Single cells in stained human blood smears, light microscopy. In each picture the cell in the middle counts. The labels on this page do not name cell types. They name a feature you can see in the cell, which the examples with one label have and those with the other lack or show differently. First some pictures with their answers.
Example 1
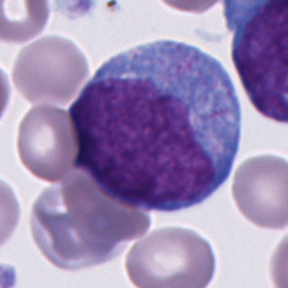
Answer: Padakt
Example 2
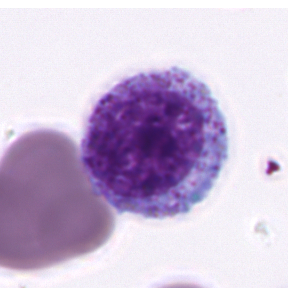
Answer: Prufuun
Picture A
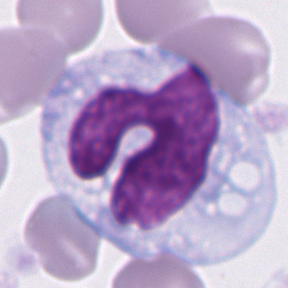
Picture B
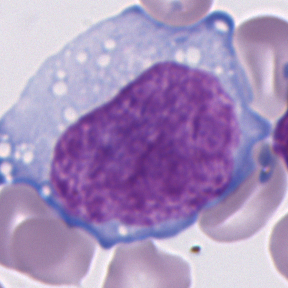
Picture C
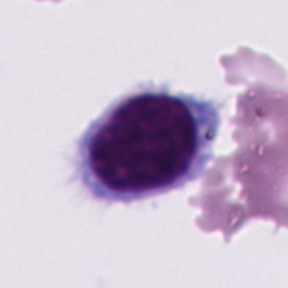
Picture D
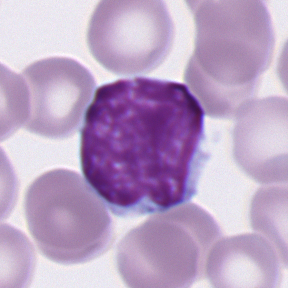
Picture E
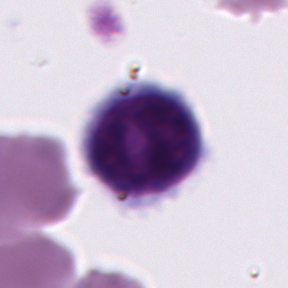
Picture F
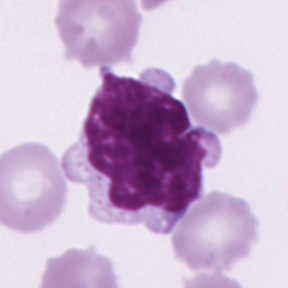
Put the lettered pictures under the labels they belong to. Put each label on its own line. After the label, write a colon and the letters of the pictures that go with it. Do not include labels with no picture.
Padakt: A, B
Prufuun: C, D, E, F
